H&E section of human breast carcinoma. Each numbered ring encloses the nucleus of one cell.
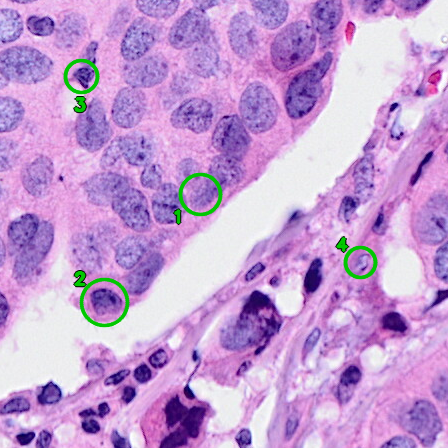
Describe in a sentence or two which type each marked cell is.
Cell 1 is a carcinoma cell, cell 2 is a carcinoma cell, cell 3 is a lymphocyte and cell 4 is an endothelial cell.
